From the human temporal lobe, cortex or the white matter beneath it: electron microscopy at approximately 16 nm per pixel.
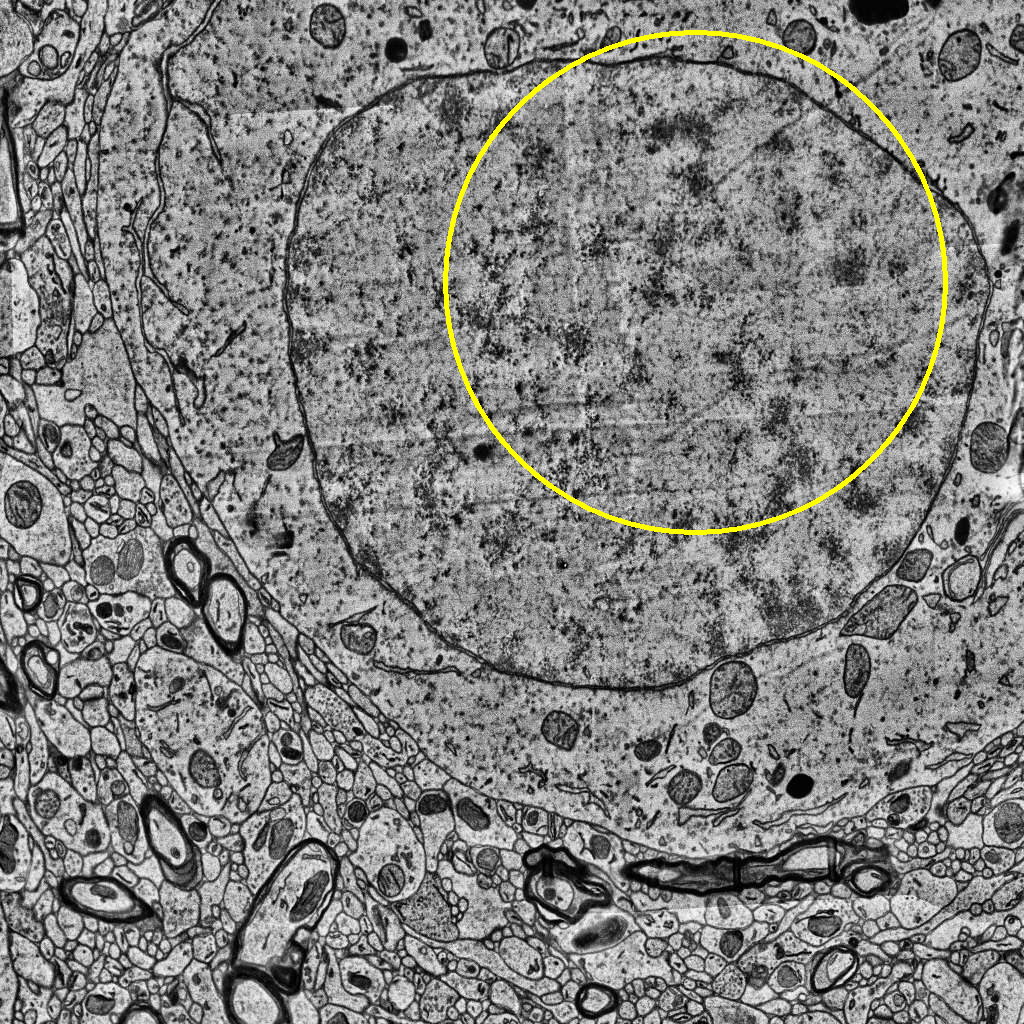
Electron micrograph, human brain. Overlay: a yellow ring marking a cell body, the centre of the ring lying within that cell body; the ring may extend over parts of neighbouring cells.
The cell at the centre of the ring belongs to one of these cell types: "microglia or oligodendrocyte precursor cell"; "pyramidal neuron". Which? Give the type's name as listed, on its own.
pyramidal neuron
